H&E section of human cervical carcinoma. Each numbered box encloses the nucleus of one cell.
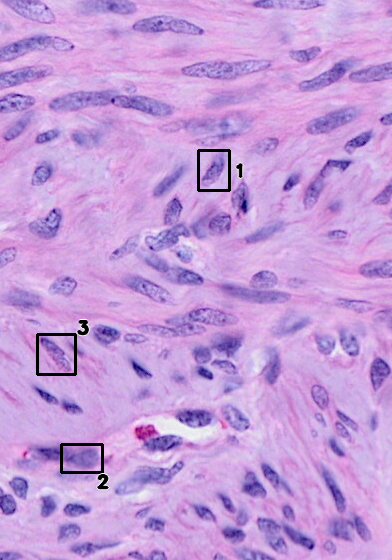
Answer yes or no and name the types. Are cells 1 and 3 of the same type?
Yes, smooth muscle cells are what cells 1 and 3 both are.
